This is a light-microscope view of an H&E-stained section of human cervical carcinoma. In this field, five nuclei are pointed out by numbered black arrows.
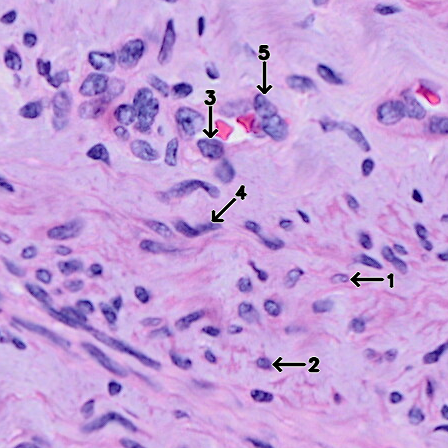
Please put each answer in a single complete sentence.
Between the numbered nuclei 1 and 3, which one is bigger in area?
Of the two, number 3 is bigger and takes up about 3 times the area of number 1.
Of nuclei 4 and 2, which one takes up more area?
Number 4 is larger; its area is about 2 times that of number 2.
